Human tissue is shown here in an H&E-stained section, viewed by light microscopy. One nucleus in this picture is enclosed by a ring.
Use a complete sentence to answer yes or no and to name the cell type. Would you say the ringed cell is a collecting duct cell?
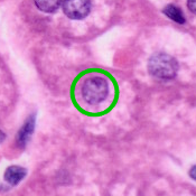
No, judged by cell type, the ringed cell is a hepatocyte, not a collecting duct cell.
